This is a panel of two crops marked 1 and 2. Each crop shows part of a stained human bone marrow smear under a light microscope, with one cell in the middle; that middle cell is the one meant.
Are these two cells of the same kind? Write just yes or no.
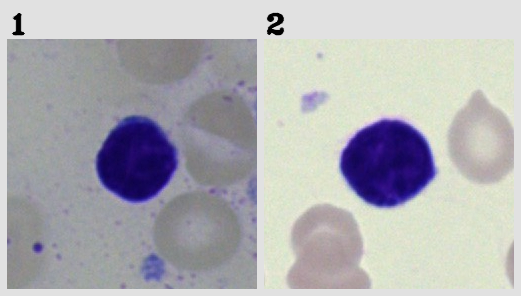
yes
